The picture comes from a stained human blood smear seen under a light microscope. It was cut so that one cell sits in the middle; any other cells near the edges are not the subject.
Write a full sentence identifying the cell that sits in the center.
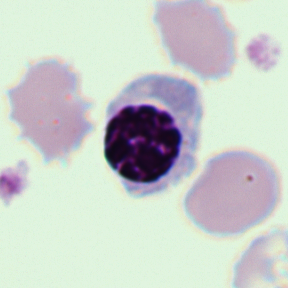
The cell around which this crop is centred is an erythroblast.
